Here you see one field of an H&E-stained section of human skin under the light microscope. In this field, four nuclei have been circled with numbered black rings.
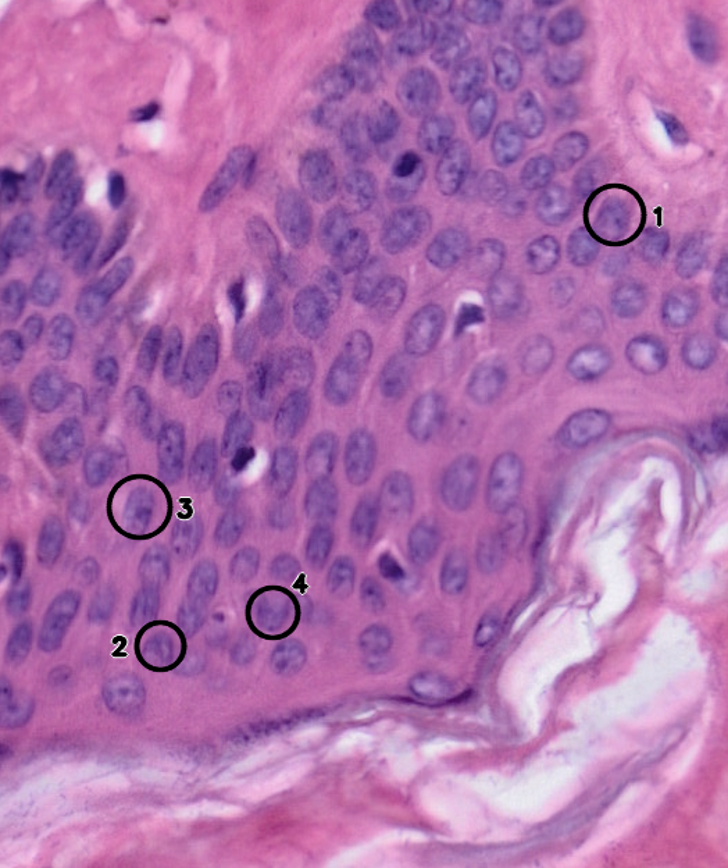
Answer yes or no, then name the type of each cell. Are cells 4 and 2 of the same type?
Yes, both are suprabasal keratinocytes.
